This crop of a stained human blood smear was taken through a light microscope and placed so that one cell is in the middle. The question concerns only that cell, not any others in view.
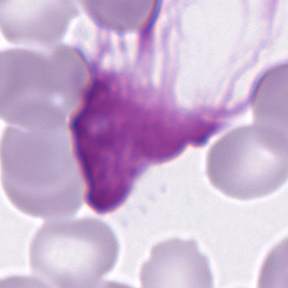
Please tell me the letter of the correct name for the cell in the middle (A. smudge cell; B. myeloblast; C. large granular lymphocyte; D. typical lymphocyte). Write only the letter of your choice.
A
